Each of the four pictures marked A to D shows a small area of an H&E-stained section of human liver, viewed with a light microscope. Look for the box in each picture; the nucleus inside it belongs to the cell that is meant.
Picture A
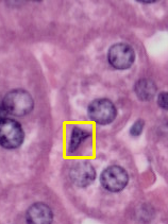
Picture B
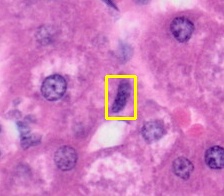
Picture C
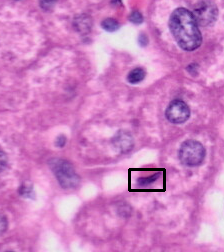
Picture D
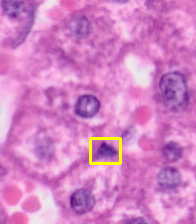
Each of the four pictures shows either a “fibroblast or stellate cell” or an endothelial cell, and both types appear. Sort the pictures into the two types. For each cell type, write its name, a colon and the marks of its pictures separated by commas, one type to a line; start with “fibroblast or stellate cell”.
fibroblast or stellate cell: A, B, D
endothelial cell: C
